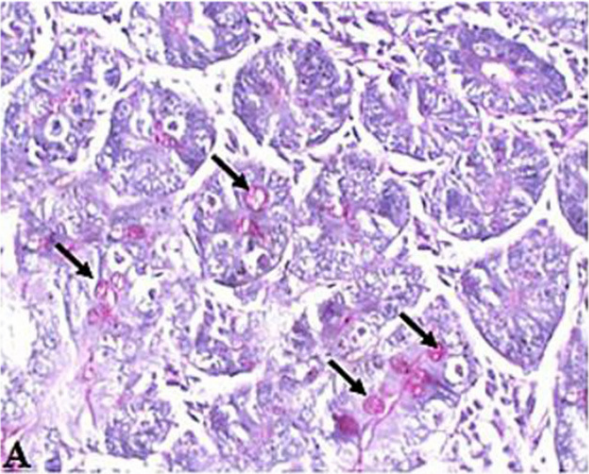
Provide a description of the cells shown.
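Intestinal glands cut in cross section, lined by densely purple epithelium with scattered goblet cells. The goblet cells are rounded with magenta-stained contents and occur singly or in small groups in only some glands. Thin strands of connective tissue lie between the glands.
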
